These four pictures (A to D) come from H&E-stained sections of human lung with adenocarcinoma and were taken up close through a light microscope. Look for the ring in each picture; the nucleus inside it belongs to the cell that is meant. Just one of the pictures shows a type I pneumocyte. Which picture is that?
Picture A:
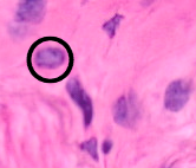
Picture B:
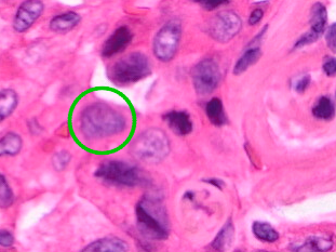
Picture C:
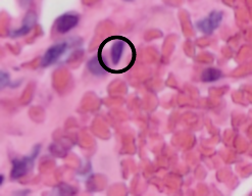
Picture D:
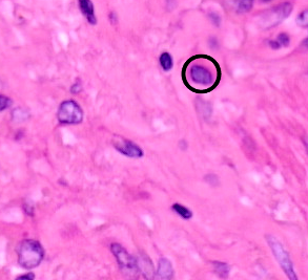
C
